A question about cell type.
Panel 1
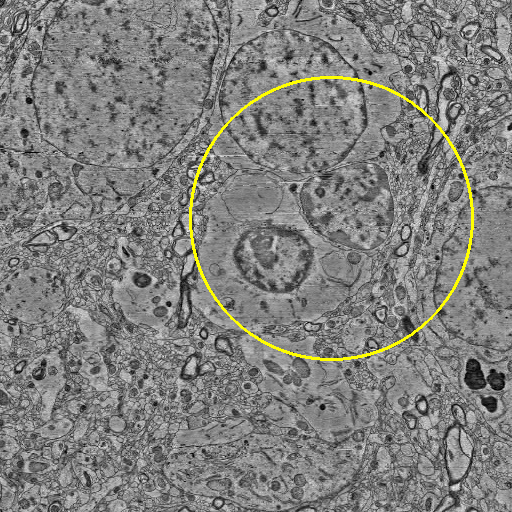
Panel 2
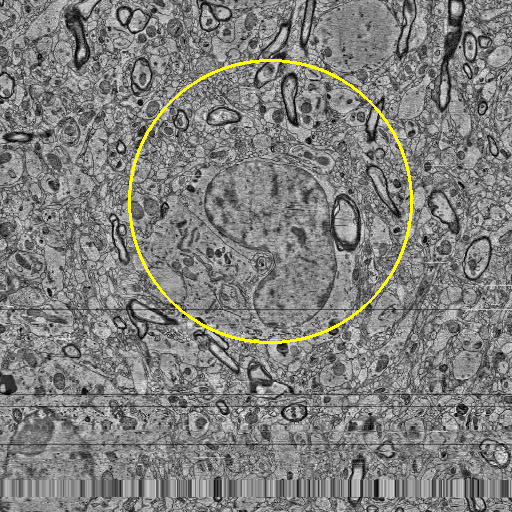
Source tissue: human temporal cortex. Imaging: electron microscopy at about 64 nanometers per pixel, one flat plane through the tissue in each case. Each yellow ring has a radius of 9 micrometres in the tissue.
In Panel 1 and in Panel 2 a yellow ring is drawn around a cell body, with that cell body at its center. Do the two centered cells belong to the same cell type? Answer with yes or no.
yes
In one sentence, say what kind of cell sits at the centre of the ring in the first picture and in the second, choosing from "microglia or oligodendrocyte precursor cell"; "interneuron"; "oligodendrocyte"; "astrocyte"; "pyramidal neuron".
Both the first and the second picture show a microglial cell or oligodendrocyte precursor cell in the ring.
